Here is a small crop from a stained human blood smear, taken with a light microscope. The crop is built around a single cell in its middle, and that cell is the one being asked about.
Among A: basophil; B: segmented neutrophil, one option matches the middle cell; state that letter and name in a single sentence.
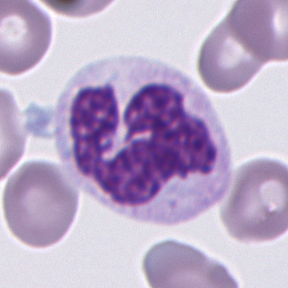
Option B is the right choice, the central cell being a segmented neutrophil.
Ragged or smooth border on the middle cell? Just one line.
Edge check done: smooth outline, no projections present.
